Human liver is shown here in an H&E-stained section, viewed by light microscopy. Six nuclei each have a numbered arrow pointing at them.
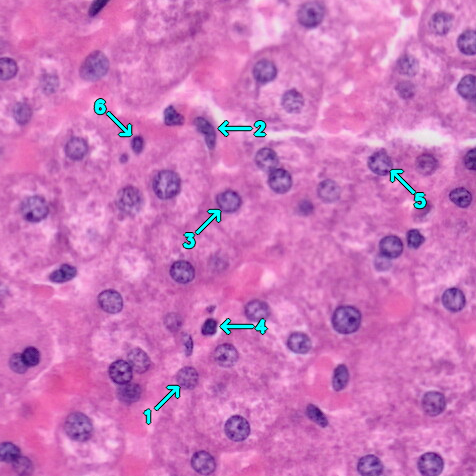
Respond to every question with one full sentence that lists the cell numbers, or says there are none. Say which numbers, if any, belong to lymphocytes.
The cells shown with numbers 4 and 6 are lymphocytes.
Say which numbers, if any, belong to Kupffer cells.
Cell 2 is a Kupffer cell; no further numbered cell is.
